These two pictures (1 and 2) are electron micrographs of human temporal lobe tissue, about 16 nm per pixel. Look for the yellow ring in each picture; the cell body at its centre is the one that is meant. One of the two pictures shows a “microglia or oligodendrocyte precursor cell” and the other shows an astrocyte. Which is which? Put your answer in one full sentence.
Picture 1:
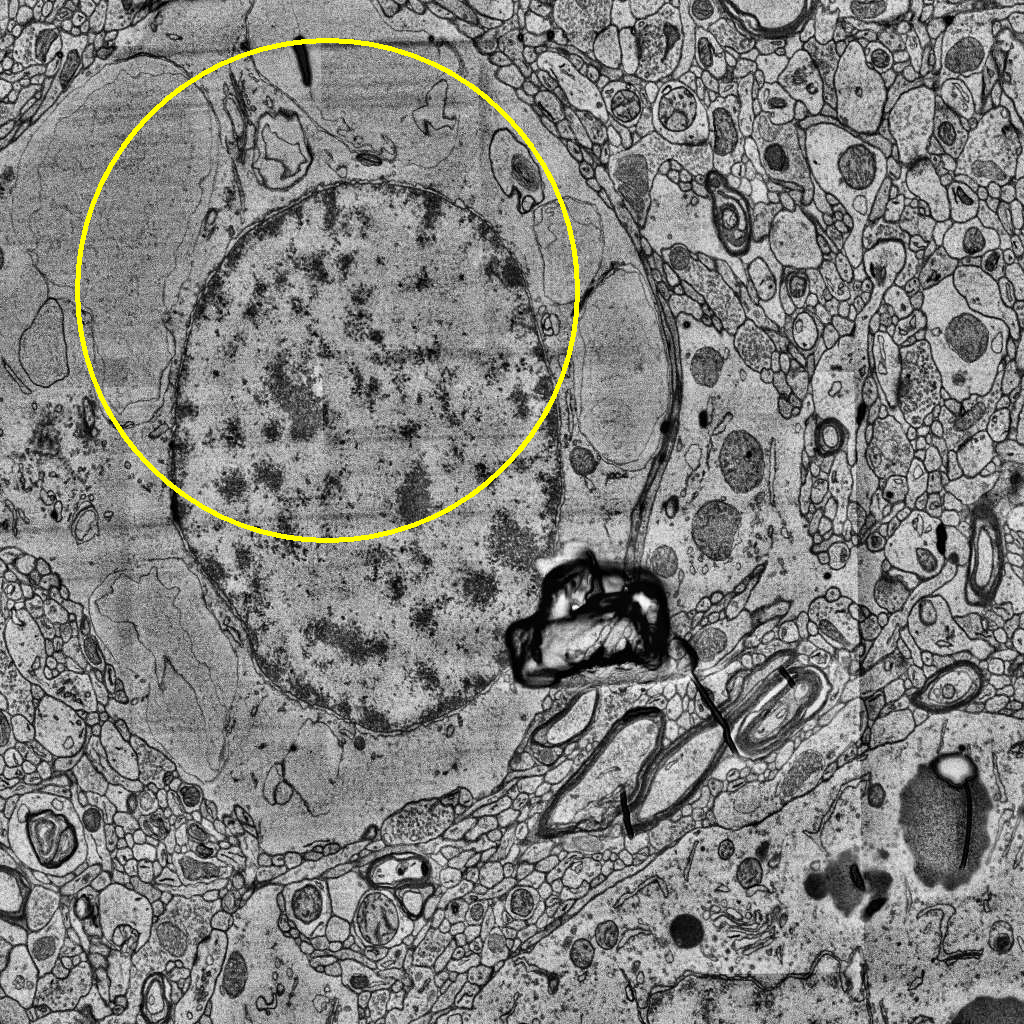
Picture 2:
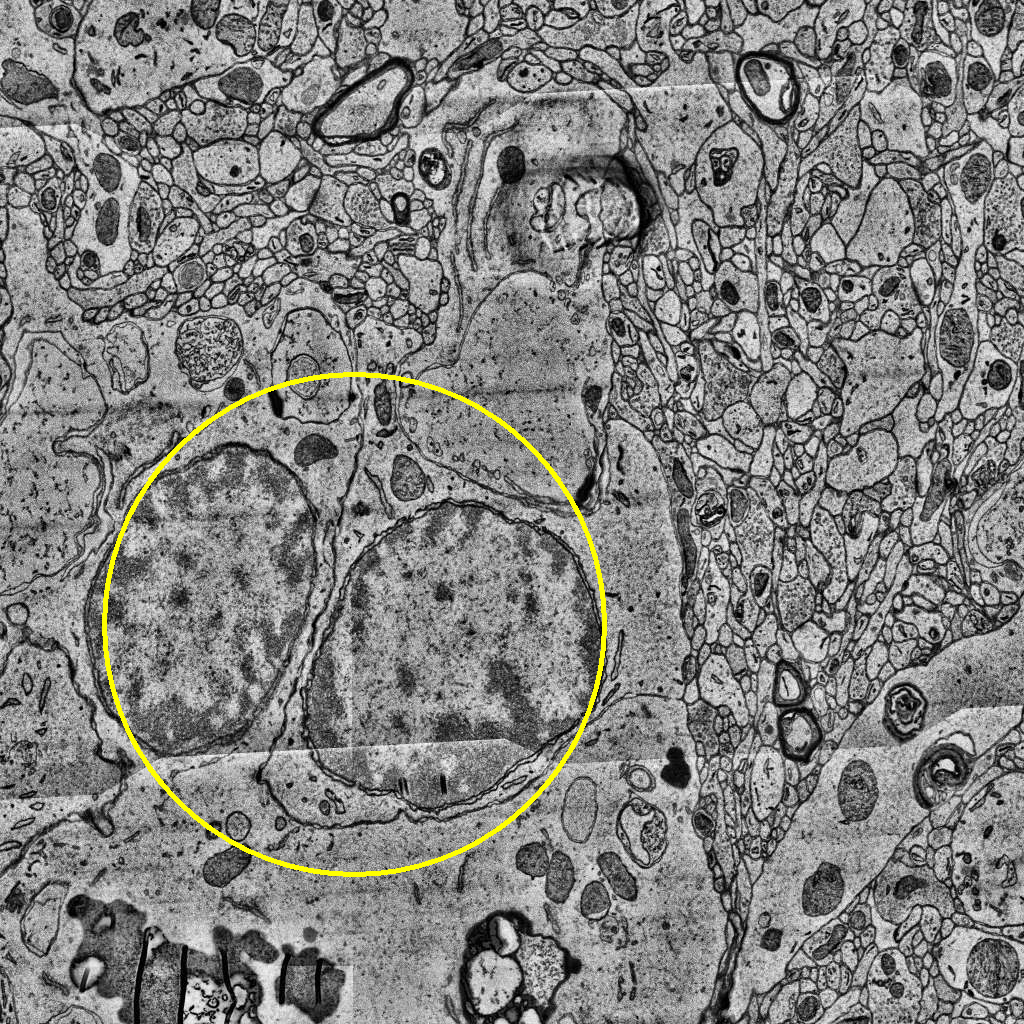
Picture 2 shows a “microglia or oligodendrocyte precursor cell”, while picture 1 shows an astrocyte.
